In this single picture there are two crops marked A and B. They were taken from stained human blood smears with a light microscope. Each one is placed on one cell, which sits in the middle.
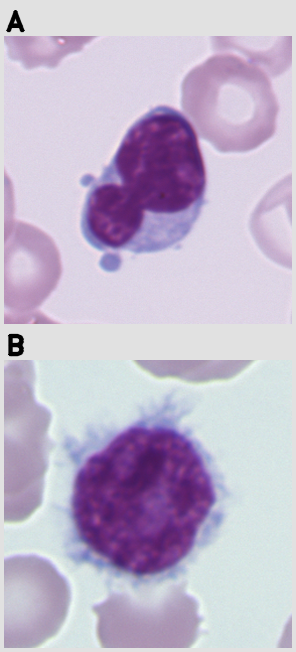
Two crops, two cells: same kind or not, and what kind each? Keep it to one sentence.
No, in fact crop A shows a typical lymphocyte, and crop B shows a hairy cell.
